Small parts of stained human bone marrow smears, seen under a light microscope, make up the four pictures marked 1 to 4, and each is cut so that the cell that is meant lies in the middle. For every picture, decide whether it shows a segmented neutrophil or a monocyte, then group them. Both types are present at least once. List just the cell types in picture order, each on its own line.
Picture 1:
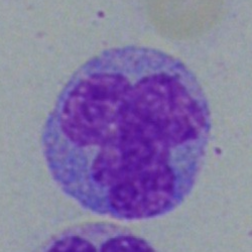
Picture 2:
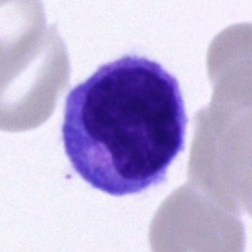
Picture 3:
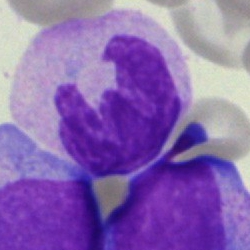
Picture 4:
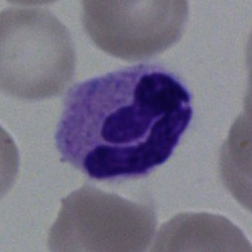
monocyte
monocyte
monocyte
segmented neutrophil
